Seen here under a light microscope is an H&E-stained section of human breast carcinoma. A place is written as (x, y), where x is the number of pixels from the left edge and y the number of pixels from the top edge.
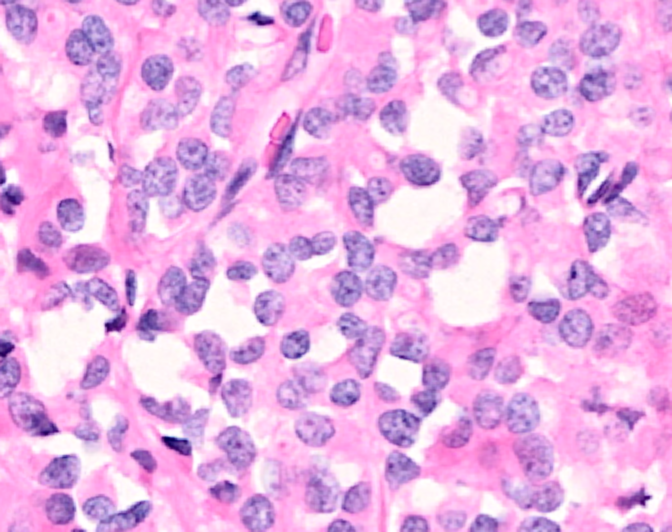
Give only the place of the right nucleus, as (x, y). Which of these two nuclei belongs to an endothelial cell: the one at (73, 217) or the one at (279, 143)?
(279, 143)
